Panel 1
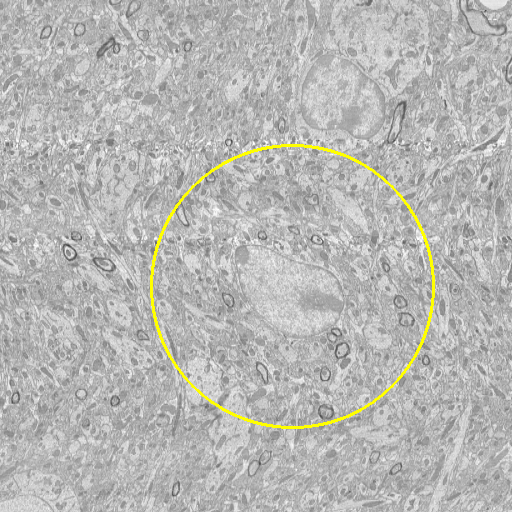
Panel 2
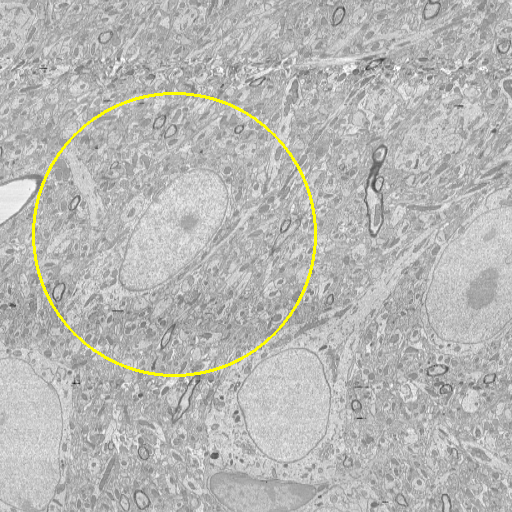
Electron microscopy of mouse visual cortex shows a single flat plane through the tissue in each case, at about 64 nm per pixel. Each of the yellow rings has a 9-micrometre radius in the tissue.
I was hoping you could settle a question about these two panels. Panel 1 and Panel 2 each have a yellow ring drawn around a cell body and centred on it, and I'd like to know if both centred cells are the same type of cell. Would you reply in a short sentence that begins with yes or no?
Yes, both are the same type of cell.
